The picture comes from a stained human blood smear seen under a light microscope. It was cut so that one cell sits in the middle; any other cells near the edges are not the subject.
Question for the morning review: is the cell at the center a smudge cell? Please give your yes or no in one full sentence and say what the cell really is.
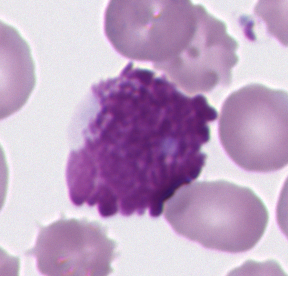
Yes, at the centre of the crop lies a smudge cell.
